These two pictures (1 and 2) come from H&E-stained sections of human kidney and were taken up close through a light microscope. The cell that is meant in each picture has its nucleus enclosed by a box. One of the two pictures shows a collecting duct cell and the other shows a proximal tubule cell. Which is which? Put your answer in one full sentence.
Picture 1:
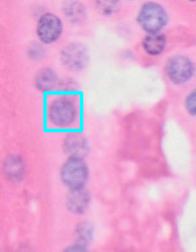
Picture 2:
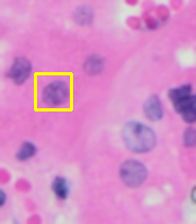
In picture 1 the cell is a collecting duct cell; in picture 2, a proximal tubule cell.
